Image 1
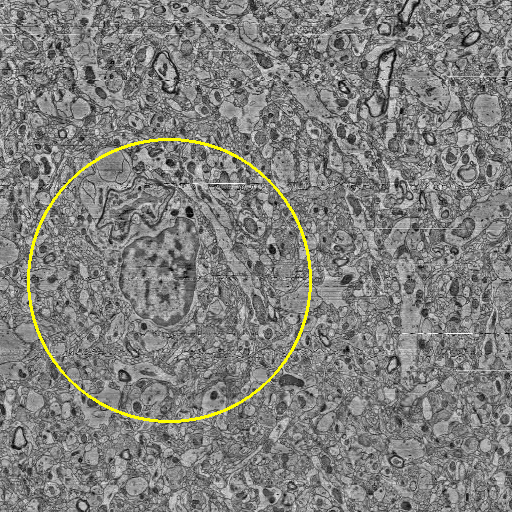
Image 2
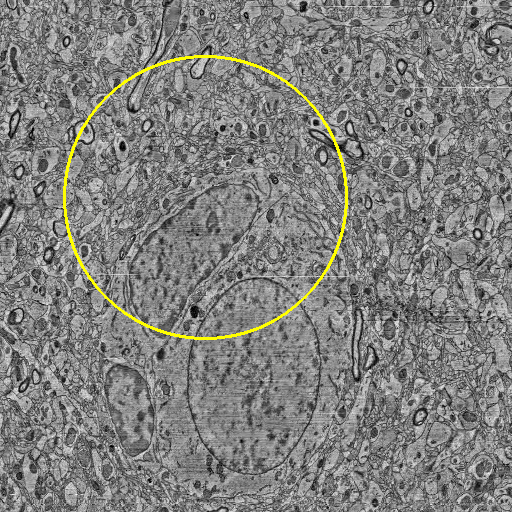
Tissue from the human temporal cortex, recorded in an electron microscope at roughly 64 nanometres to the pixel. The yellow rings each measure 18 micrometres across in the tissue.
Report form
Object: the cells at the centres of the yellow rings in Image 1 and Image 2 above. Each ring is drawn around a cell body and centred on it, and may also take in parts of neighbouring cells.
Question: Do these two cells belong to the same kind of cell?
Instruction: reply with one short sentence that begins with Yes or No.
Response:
Yes, both belong to the same kind of cell.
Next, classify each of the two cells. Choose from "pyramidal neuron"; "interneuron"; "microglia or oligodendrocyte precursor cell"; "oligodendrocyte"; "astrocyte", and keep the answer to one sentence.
The cell in the first picture is a microglial cell or oligodendrocyte precursor cell, and so is the one in the second.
